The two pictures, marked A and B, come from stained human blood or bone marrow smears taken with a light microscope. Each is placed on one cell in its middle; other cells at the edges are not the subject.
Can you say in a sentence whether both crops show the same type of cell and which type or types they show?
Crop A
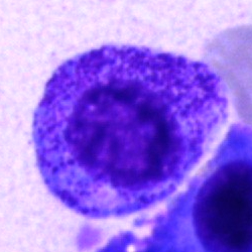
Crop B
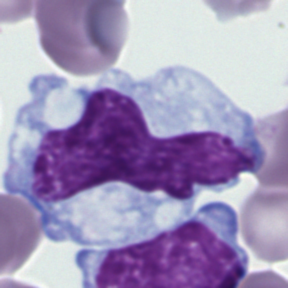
No, the cell of interest in crop A is a promyelocyte, and in crop B it is a monocyte.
